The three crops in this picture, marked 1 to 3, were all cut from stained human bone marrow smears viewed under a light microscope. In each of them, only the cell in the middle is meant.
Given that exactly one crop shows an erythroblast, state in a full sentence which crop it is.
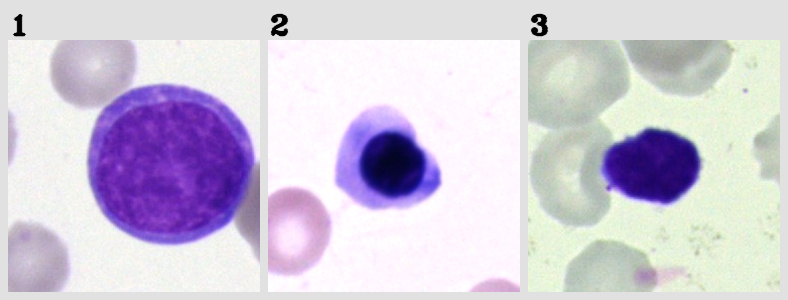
The crop bearing an erythroblast is crop 2.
